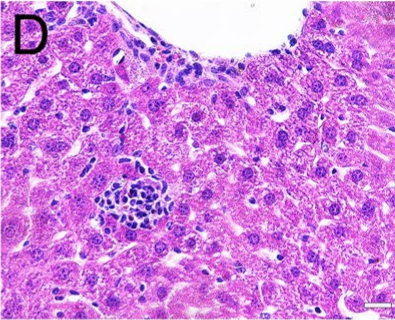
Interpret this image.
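This is liver parenchyma, with cords of large liver cells holding round purple nuclei and granular pink cytoplasm, separated by narrow sinusoids. Near the middle lies a small, tight cluster of cells with dense, dark nuclei and scant cytoplasm, clearly smaller than the surrounding liver cells.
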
